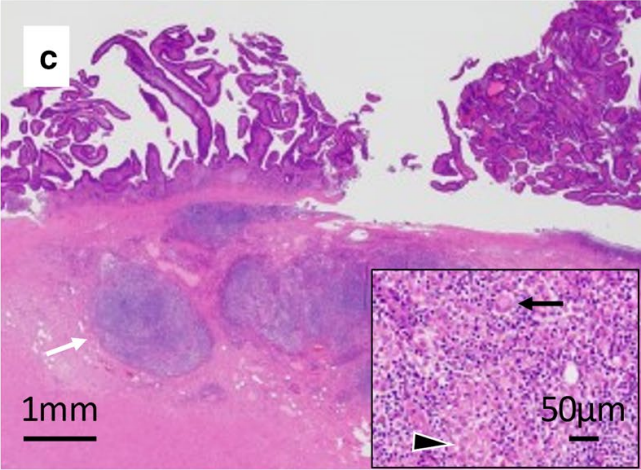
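Beneath the mucosa, in the submucosa, lie rounded blue-purple aggregates of small mononuclear cells. The inset at higher power shows many small dark round inflammatory cells around pale pink epithelioid cells forming a granuloma without a necrotic center. A larger cell with abundant pink cytoplasm, a multinucleated giant cell, lies among them.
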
